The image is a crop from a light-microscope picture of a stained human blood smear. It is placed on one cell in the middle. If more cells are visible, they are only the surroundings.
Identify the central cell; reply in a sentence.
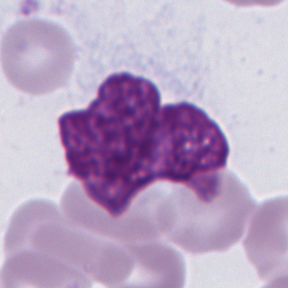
In this smear crop, the middle cell is a smudge cell.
